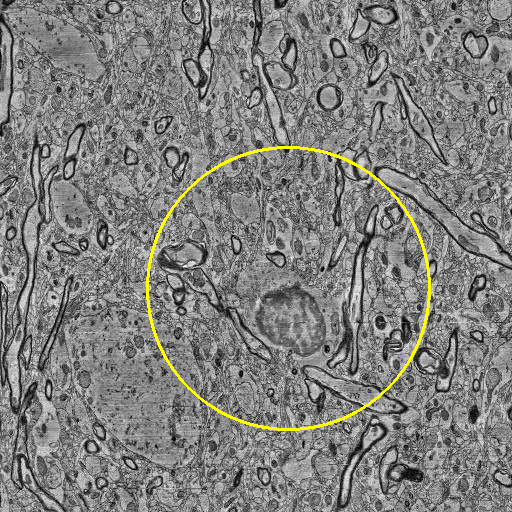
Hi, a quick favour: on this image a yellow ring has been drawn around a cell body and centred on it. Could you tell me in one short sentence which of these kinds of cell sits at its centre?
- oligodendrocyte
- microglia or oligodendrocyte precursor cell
The ring is centred on an oligodendrocyte.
